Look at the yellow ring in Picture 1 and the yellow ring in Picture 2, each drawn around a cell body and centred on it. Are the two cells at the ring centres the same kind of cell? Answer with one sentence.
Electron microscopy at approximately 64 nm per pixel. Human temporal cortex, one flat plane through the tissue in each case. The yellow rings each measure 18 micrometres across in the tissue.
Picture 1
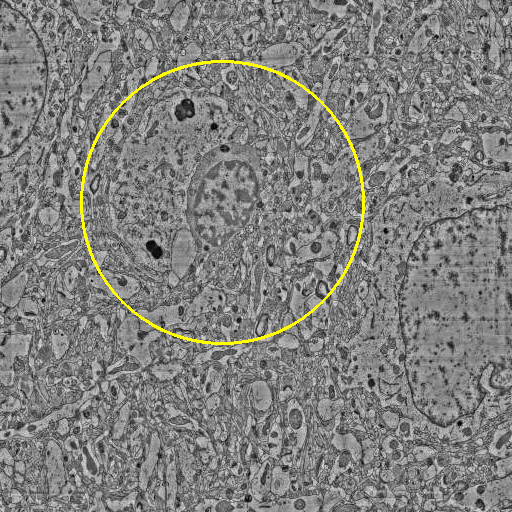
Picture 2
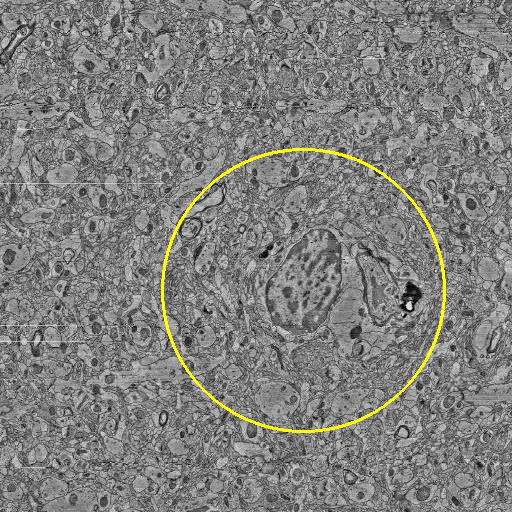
No, they are cells of two kinds.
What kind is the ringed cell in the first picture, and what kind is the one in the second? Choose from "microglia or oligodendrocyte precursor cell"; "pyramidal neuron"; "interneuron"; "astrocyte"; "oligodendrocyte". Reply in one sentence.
The first cell is an oligodendrocyte; the second is a microglial cell or oligodendrocyte precursor cell.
